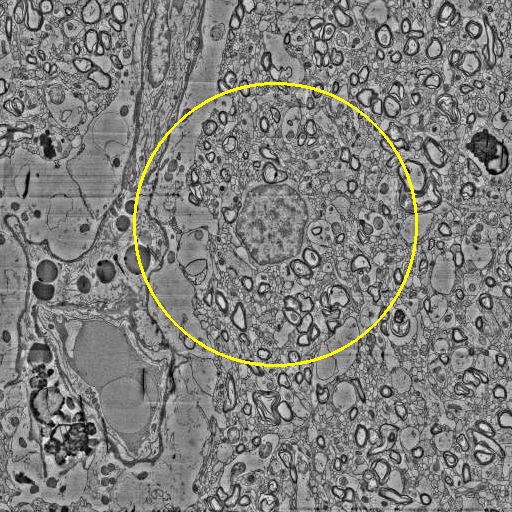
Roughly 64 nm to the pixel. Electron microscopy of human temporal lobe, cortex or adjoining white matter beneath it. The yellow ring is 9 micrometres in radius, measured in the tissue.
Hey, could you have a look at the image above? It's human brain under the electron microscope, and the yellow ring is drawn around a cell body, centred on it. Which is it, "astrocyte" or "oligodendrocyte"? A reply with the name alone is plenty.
oligodendrocyte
